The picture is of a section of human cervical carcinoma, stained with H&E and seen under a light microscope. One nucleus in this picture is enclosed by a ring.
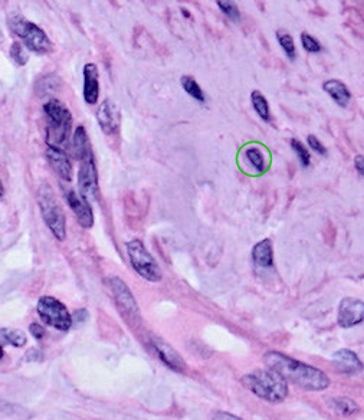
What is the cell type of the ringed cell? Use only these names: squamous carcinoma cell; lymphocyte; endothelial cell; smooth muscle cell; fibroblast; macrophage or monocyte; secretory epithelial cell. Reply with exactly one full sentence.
In short, the ringed cell on this section is a smooth muscle cell.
